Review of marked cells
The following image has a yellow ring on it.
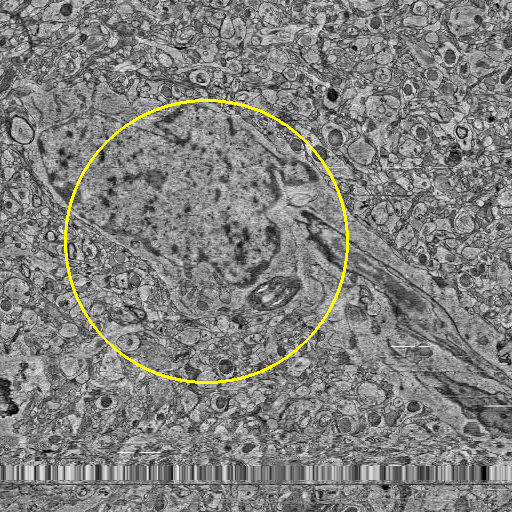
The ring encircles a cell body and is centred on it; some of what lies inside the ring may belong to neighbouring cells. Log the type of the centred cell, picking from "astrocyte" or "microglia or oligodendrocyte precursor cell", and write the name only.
microglia or oligodendrocyte precursor cell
